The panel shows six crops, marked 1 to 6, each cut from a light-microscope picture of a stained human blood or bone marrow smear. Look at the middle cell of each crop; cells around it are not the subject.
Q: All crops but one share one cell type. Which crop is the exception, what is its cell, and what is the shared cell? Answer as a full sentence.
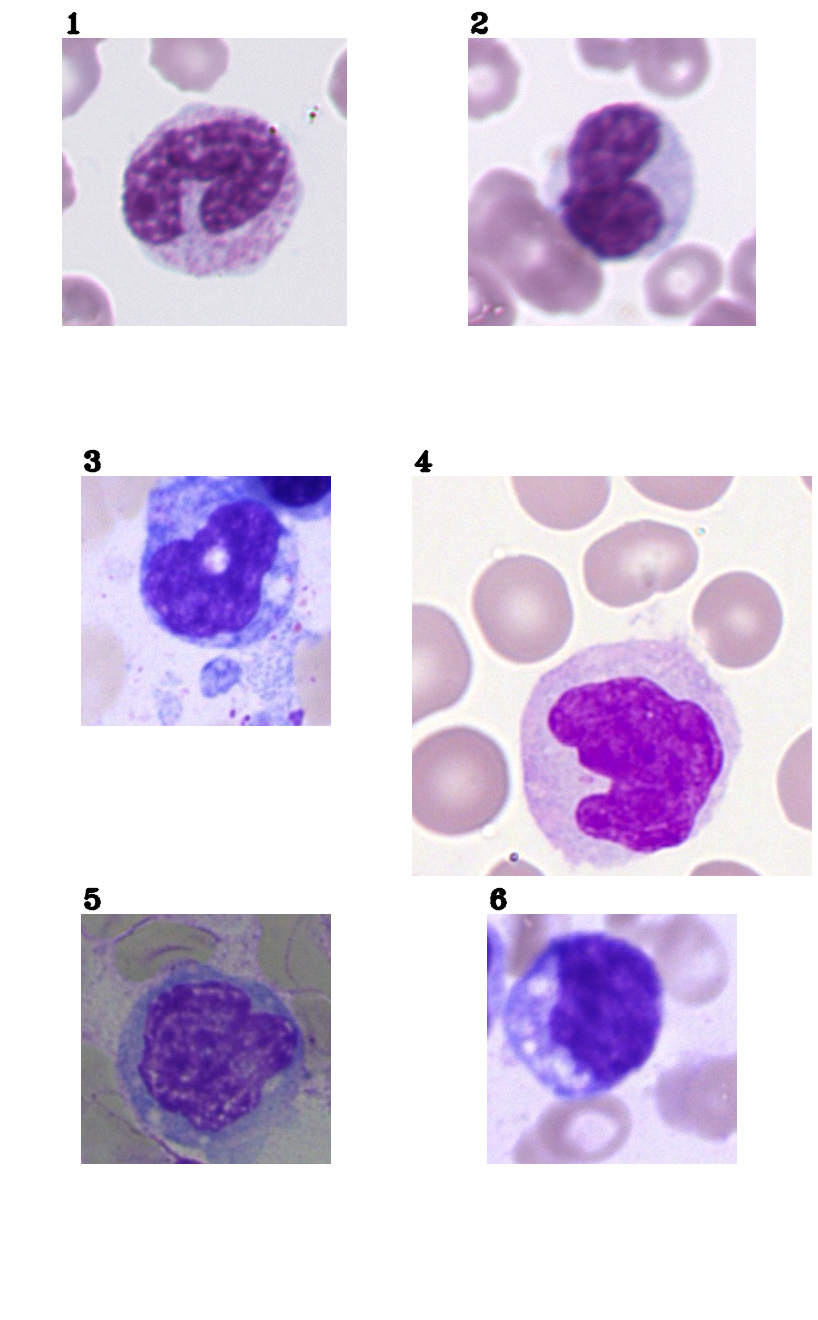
Crop 1 is the only crop with a band neutrophil, the others all showing monocytes.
